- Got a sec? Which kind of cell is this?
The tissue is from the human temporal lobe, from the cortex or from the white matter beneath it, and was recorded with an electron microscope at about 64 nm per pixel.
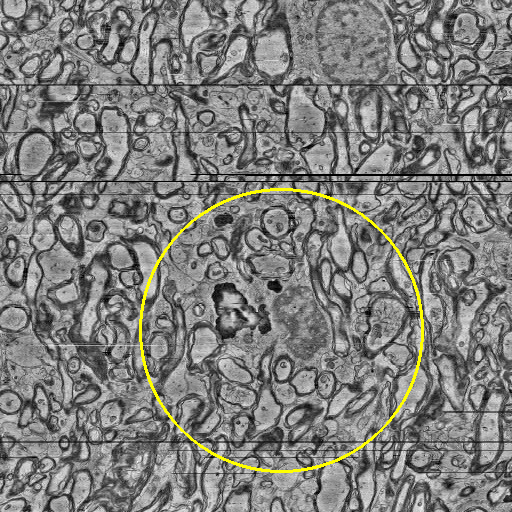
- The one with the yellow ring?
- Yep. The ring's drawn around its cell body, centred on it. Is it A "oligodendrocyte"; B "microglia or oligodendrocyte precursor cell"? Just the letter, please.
A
